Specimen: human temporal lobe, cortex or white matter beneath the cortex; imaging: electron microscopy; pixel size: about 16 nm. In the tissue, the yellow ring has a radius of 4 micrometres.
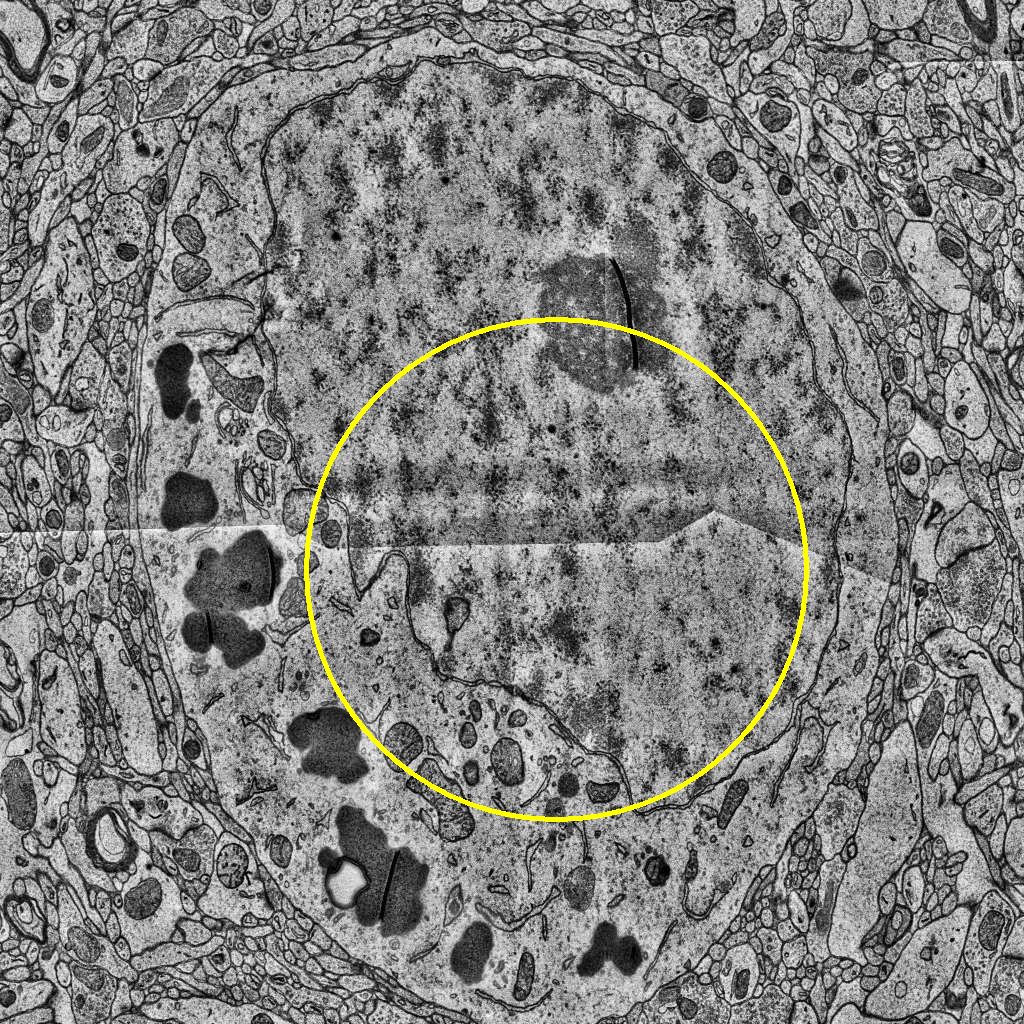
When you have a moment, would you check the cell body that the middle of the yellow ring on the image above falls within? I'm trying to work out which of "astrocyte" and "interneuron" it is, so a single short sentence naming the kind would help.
This cell body belongs to an interneuron.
